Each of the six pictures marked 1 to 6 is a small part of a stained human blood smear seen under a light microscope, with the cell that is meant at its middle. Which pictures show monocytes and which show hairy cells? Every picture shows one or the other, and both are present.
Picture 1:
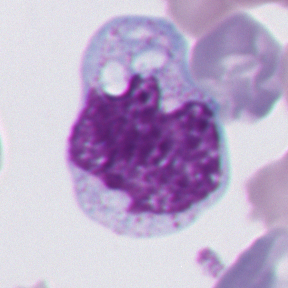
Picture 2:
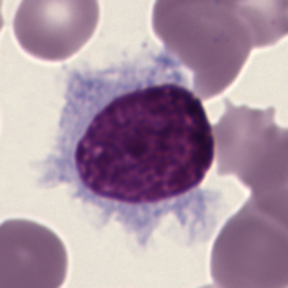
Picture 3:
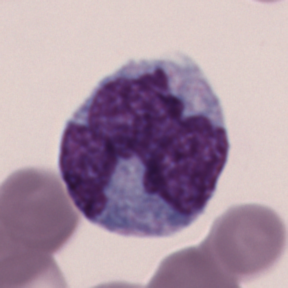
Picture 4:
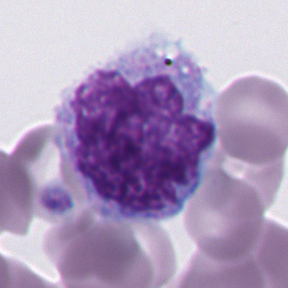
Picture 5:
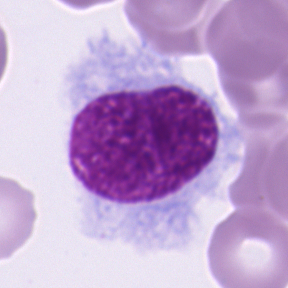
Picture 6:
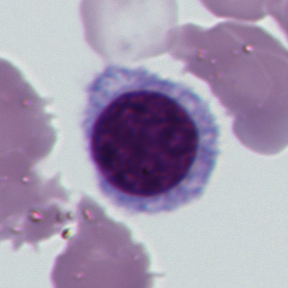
1: monocyte
2: hairy cell
3: monocyte
4: monocyte
5: hairy cell
6: hairy cell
